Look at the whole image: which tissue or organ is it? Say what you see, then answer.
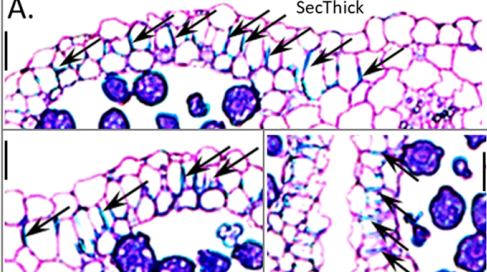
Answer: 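A wall several cell layers thick encloses a cavity. Round, densely stained dark purple grains lie inside the cavity, in the manner of pollen in a locule.
Answer: anthers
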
